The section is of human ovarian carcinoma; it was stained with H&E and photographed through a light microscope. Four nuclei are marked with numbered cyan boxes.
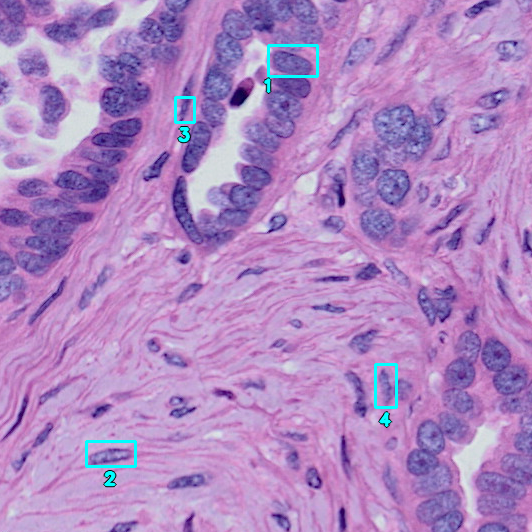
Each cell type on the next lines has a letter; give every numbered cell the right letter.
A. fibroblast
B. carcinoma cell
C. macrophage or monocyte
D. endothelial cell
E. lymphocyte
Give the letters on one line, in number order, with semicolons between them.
B; A; A; A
